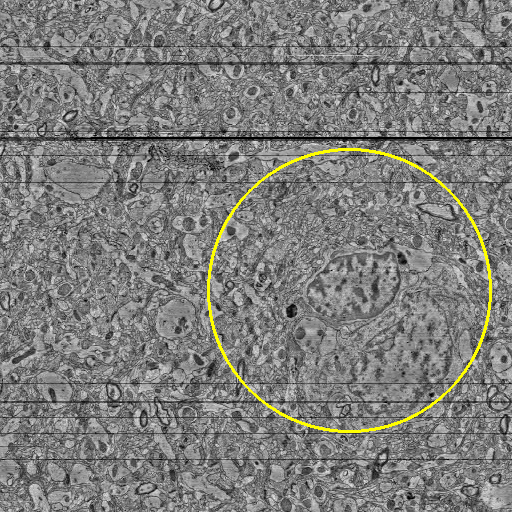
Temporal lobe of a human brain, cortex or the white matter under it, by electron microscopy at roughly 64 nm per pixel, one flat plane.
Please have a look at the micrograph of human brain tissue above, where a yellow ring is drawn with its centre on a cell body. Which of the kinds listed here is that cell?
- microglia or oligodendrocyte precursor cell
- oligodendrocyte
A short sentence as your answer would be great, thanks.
At the centre of the ring sits a microglial cell or oligodendrocyte precursor cell.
